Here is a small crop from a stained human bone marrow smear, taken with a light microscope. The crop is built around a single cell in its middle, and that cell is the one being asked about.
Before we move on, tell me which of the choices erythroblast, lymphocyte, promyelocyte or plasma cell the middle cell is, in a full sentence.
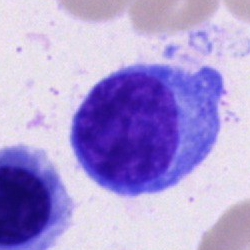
Centrally within this crop lies a plasma cell.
